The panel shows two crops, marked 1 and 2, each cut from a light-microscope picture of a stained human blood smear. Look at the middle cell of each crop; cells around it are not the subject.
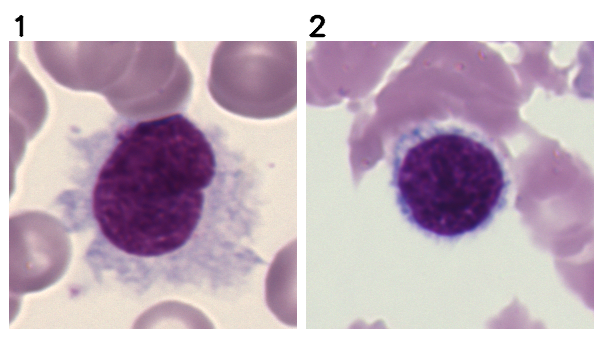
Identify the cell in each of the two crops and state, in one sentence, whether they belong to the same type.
Yes, both crops show hairy cells as the central cells.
